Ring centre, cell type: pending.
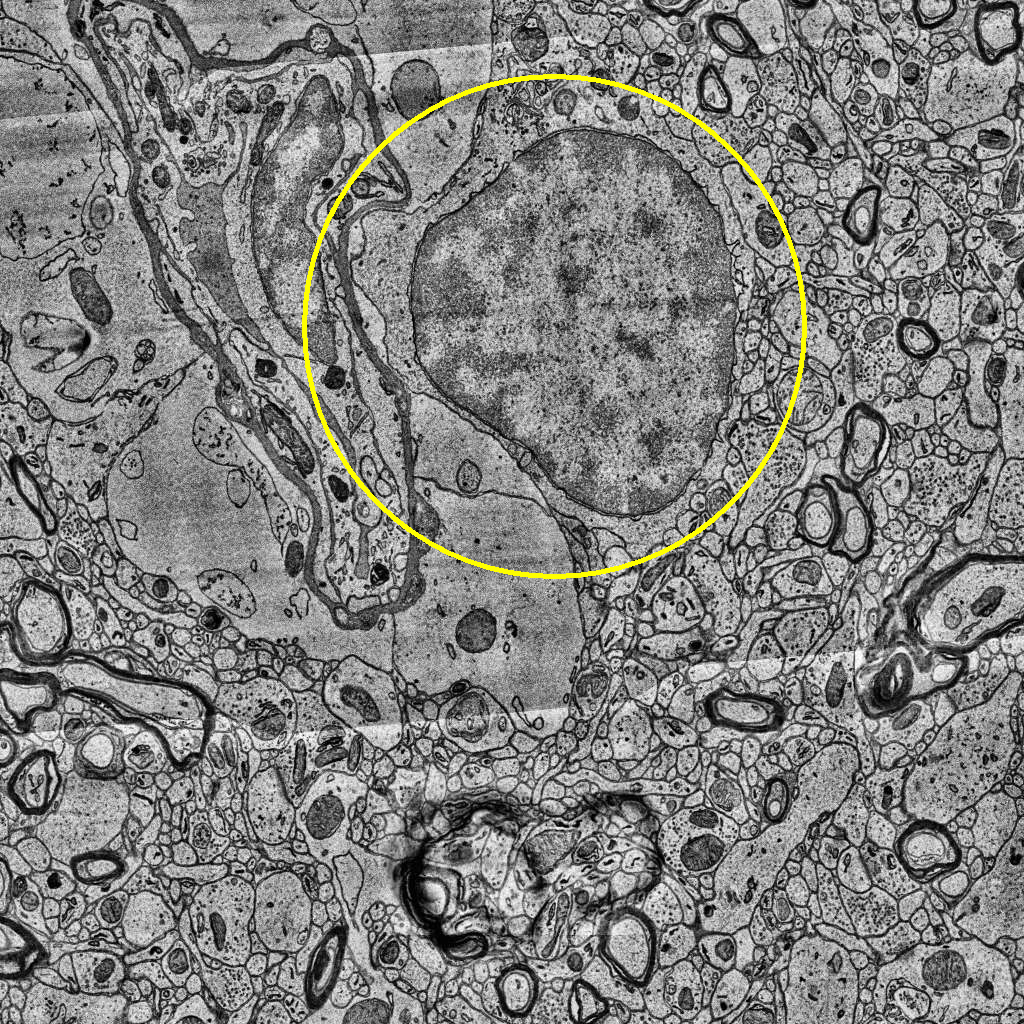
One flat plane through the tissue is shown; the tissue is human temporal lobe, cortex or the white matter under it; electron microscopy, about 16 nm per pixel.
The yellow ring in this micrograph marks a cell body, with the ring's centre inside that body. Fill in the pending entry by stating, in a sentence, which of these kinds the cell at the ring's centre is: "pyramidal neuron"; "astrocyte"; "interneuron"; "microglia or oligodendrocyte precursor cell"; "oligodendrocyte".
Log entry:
The cell at the ring's centre is recorded as an oligodendrocyte.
